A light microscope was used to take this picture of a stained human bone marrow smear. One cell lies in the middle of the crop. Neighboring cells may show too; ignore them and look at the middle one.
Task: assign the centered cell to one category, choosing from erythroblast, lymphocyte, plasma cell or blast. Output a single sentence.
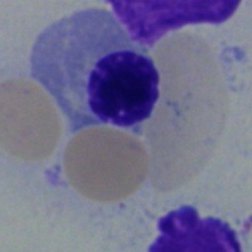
The identification for the central cell is an erythroblast.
